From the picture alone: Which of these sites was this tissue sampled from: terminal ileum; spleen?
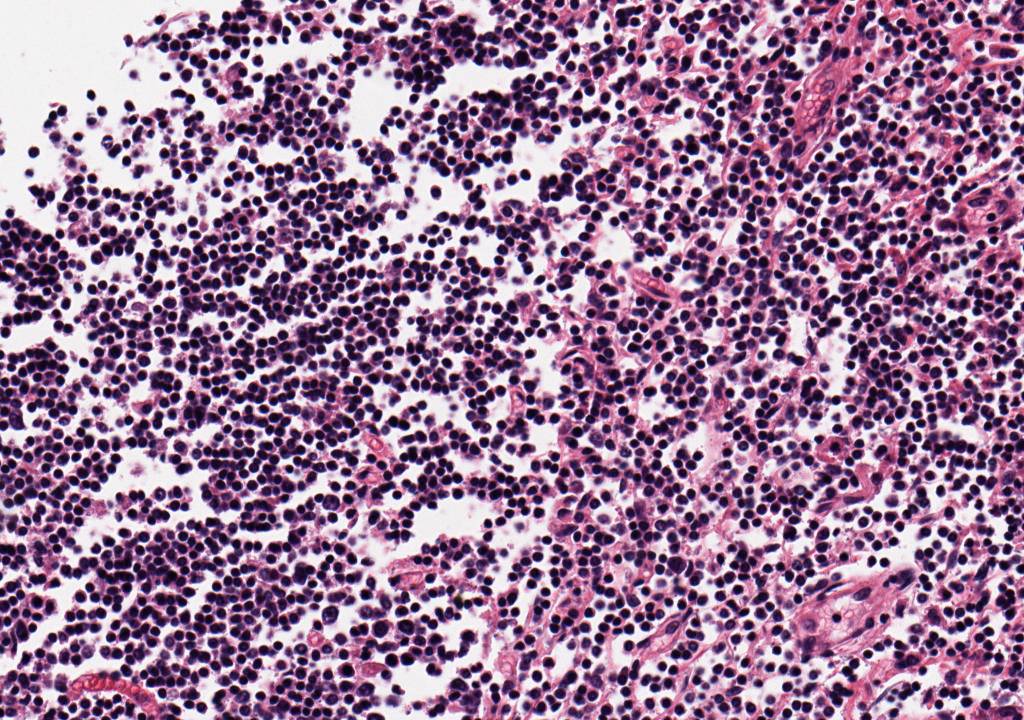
terminal ileum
